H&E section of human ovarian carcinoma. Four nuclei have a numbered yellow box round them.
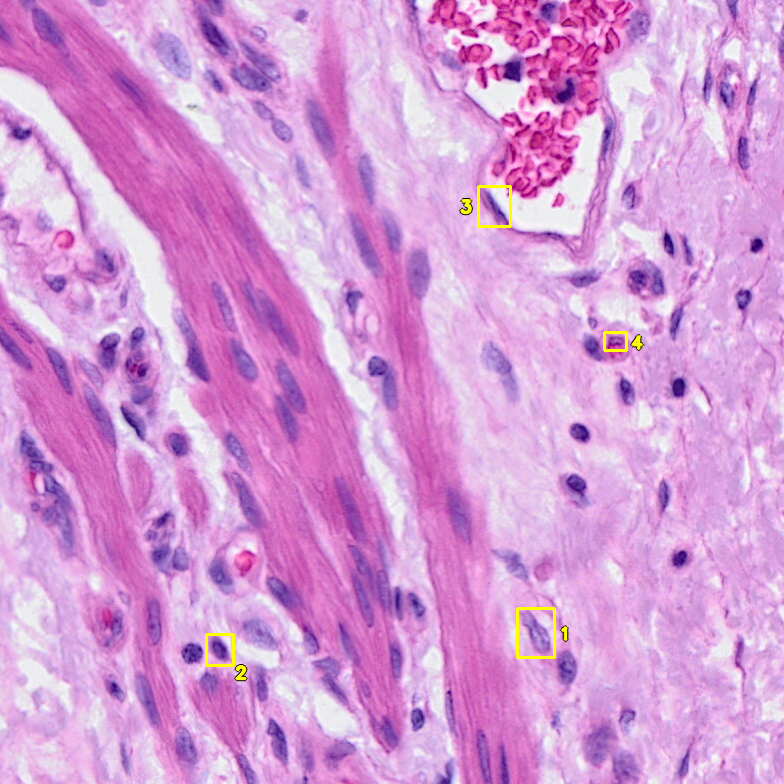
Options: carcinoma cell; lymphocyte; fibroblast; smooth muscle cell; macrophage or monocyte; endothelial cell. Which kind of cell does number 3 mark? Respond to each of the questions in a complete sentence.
Numbered cell 3 is an endothelial cell in this tissue section.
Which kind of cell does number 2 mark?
The cell identified by the number 2 is a lymphocyte.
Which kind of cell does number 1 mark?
Marked with the number 1, this cell is an endothelial cell.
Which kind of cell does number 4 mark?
The marked nucleus 4 is that of an endothelial cell.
